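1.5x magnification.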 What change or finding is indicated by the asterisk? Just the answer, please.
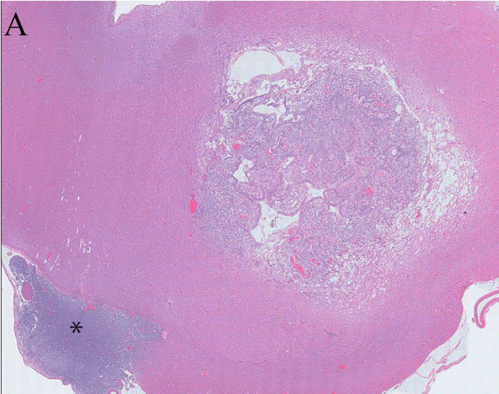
Metastatic mass.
